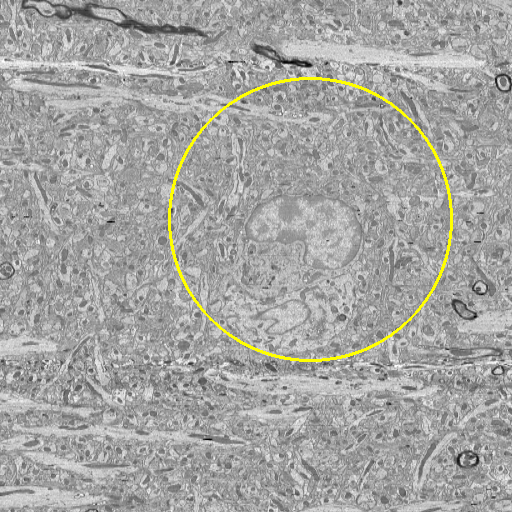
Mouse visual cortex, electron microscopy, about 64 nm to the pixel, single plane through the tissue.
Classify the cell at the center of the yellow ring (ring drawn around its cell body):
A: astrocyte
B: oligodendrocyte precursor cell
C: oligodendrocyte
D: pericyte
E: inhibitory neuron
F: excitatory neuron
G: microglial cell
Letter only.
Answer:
C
